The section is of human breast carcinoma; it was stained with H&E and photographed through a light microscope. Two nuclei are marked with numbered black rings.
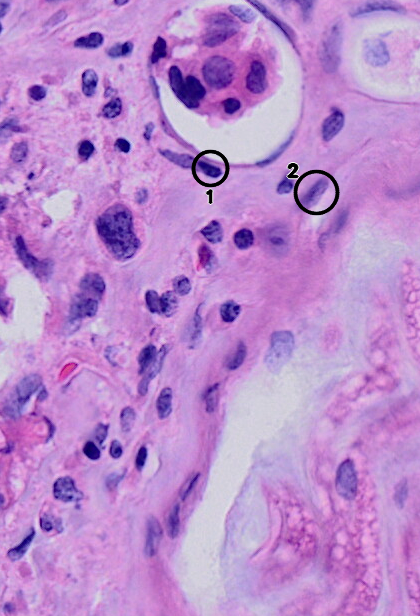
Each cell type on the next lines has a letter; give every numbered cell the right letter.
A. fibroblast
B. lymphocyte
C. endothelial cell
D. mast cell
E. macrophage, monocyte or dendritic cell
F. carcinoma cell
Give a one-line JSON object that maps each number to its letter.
{"1": "B", "2": "A"}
